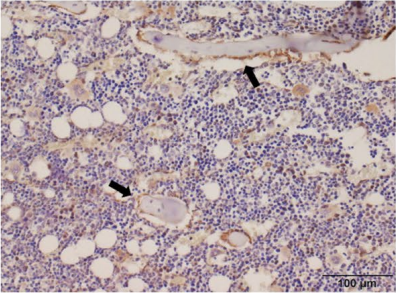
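Scattered through the marrow are many empty, rounded clear spaces of varying size, left by adipocytes. The brown lining is thinner and less extensive than a thick continuous layer.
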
